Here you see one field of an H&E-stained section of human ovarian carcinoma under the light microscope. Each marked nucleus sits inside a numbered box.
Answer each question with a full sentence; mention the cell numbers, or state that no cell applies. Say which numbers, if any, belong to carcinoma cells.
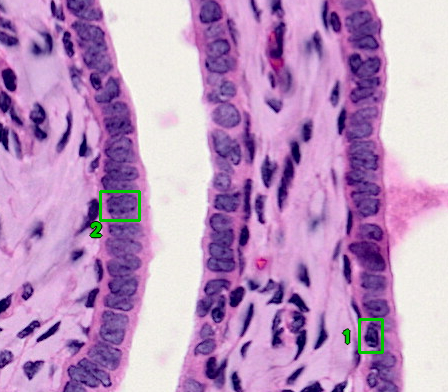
Cell 2 is a carcinoma cell and is the only numbered cell of that kind.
